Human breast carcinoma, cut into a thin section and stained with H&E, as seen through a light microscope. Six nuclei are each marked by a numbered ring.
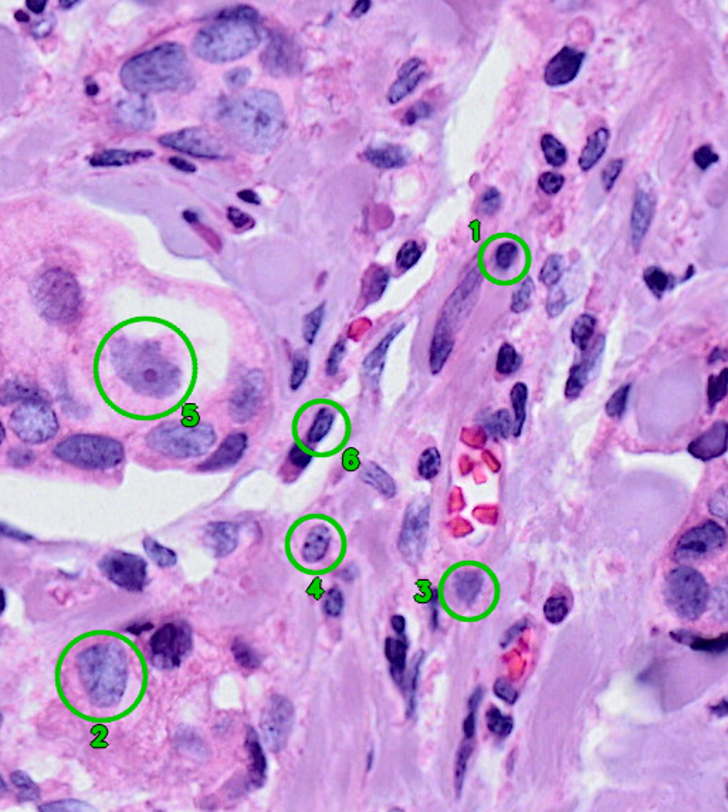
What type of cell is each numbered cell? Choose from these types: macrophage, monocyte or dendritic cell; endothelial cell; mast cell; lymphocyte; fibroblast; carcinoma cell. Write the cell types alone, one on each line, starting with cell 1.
lymphocyte
carcinoma cell
endothelial cell
mast cell
carcinoma cell
lymphocyte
